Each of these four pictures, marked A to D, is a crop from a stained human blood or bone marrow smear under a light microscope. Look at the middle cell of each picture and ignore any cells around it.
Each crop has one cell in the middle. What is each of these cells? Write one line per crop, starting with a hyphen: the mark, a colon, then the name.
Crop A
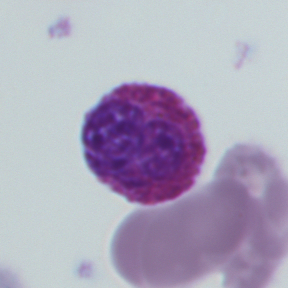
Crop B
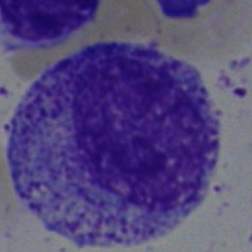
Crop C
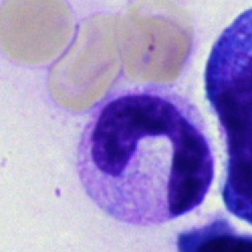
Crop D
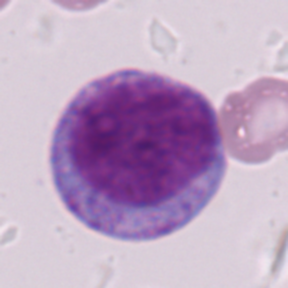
- A: eosinophil
- B: promyelocyte
- C: band neutrophil
- D: promyelocyte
